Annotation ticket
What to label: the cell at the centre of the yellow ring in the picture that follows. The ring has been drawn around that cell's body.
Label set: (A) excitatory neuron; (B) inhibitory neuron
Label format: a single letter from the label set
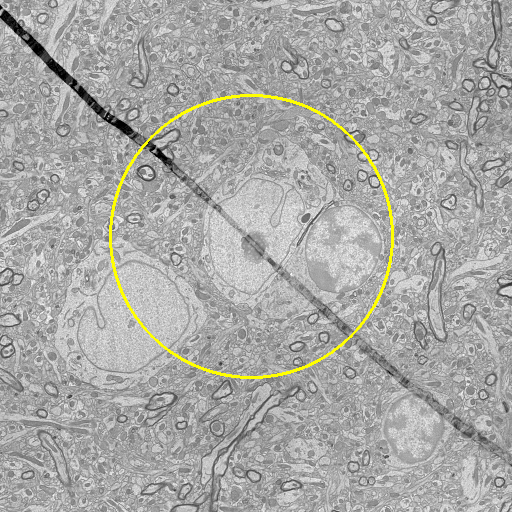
B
